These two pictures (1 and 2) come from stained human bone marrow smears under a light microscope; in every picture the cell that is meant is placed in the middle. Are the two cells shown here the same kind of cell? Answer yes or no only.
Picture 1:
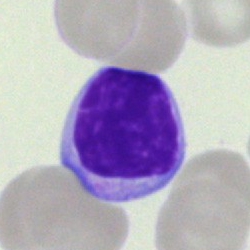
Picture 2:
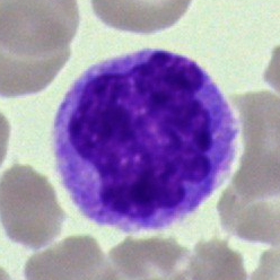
no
